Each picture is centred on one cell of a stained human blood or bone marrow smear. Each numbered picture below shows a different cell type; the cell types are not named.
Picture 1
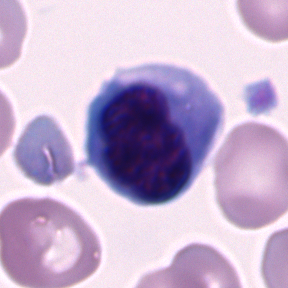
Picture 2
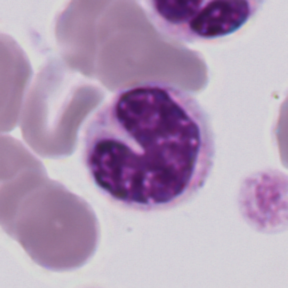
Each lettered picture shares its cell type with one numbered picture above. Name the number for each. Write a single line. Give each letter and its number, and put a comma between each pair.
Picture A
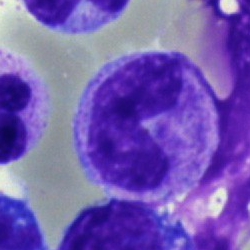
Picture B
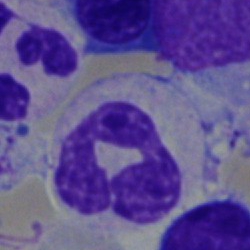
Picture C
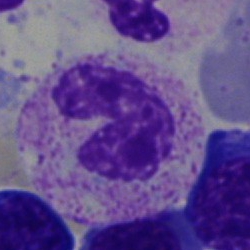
A 2, B 2, C 2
